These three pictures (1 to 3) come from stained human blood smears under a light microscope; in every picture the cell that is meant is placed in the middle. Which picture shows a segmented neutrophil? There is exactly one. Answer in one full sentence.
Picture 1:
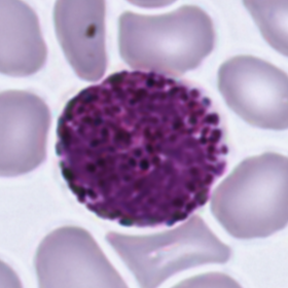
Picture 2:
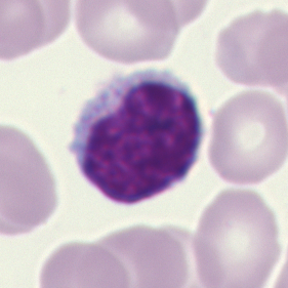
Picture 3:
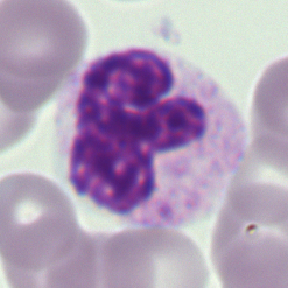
Picture 3 is the one that shows the segmented neutrophil.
